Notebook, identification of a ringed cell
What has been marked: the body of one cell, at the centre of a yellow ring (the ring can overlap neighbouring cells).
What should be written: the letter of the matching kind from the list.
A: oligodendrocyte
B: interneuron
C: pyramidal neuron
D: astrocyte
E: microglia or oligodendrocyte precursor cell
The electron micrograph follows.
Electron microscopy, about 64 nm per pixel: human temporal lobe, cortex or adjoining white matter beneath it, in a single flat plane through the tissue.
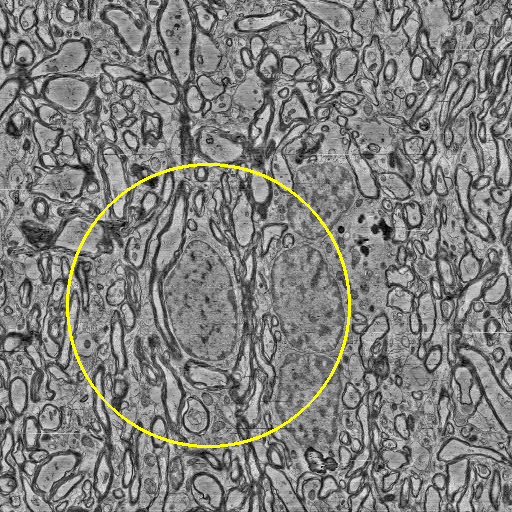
E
